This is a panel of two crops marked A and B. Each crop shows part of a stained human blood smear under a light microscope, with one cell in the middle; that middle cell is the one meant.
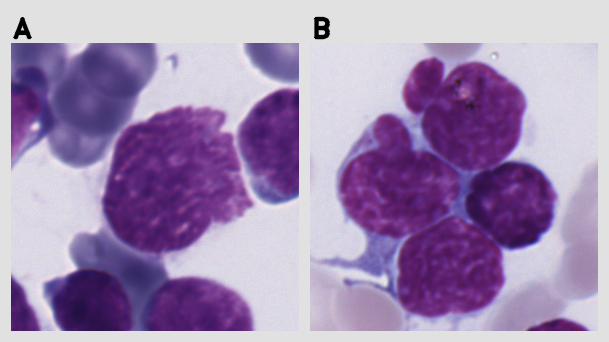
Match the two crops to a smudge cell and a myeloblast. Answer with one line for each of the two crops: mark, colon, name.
A: smudge cell
B: myeloblast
